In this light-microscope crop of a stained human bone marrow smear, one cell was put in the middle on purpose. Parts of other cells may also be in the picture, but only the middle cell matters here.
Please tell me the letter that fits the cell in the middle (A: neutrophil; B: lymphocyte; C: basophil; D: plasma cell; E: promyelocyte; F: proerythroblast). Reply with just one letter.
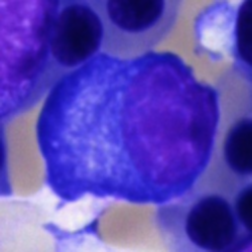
D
